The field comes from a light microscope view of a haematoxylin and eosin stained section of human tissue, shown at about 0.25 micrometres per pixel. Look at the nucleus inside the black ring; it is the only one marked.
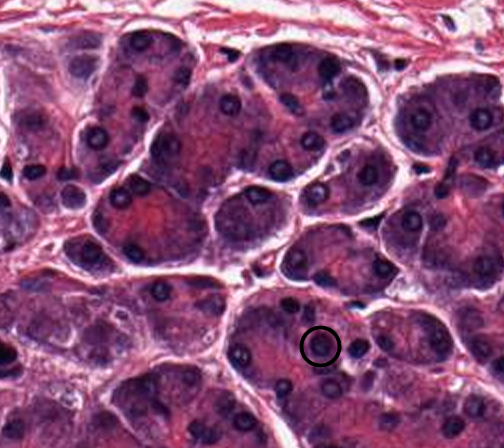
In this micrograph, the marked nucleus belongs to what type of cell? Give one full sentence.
The nucleus with the mark belongs to a pancreatic acinar cell.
